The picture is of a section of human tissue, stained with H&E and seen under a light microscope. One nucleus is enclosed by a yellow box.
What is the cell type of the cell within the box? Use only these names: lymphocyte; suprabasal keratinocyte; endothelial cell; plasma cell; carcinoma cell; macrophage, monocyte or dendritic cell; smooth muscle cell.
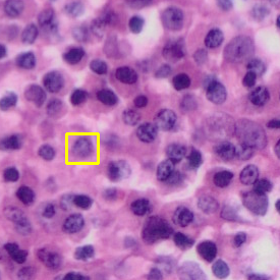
plasma cell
